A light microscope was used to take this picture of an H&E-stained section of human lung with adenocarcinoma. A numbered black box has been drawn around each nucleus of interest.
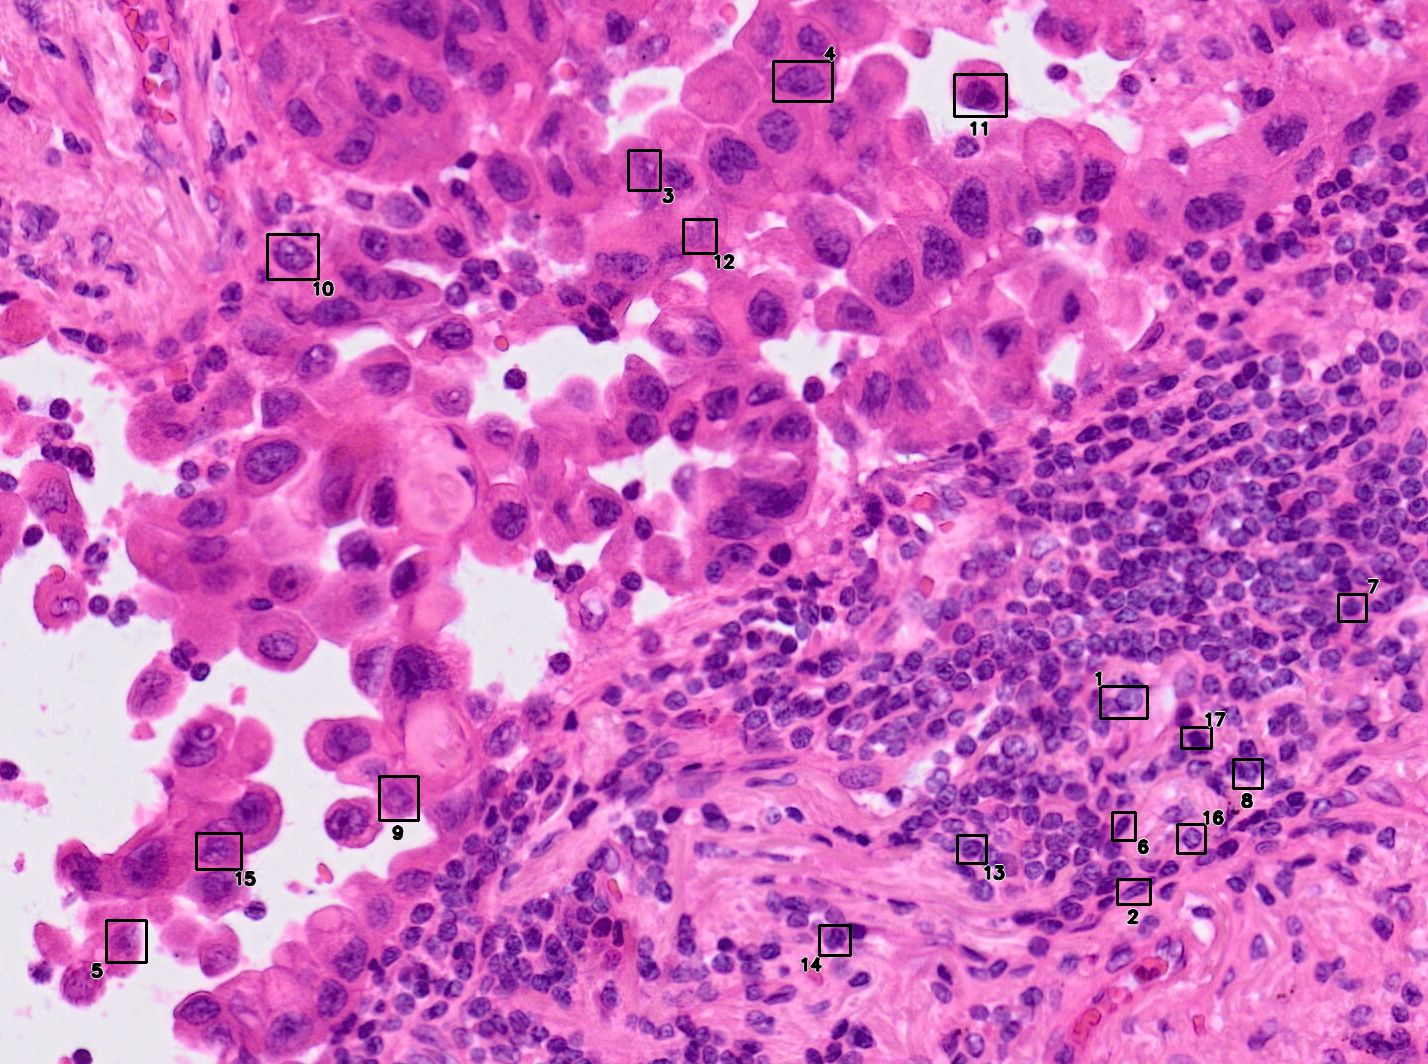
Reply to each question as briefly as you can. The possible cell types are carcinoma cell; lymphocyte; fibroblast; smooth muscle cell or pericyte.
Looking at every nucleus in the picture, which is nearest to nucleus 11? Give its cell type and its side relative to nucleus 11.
a lymphocyte, below nucleus 11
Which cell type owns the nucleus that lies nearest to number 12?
carcinoma cell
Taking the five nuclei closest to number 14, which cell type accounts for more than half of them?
lymphocyte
